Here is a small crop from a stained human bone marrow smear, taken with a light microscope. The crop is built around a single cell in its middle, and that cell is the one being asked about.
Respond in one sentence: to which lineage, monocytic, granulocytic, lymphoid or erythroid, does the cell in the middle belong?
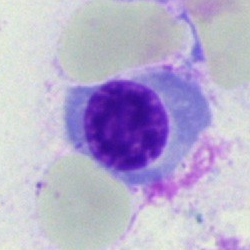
The cell right in the center of the crop is part of the erythroid line.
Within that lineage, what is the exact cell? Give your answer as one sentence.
The cell the crop is centered on is an erythroblast.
